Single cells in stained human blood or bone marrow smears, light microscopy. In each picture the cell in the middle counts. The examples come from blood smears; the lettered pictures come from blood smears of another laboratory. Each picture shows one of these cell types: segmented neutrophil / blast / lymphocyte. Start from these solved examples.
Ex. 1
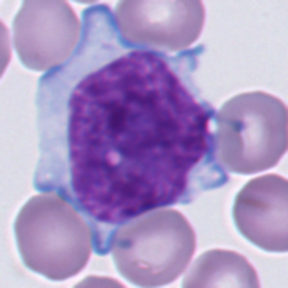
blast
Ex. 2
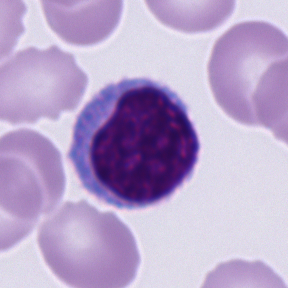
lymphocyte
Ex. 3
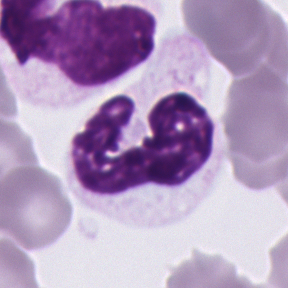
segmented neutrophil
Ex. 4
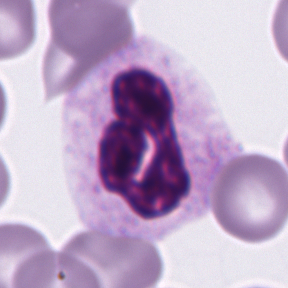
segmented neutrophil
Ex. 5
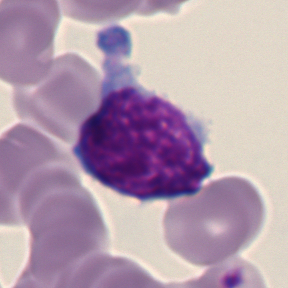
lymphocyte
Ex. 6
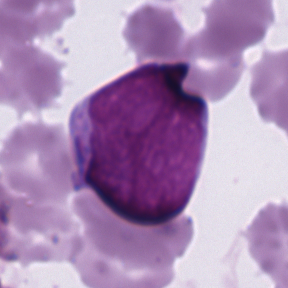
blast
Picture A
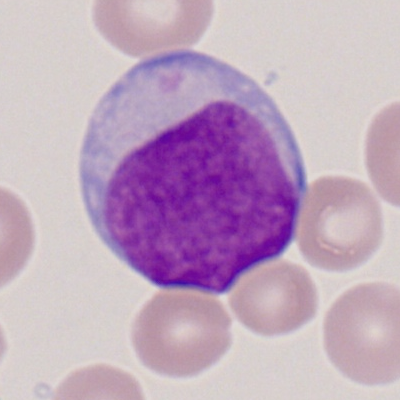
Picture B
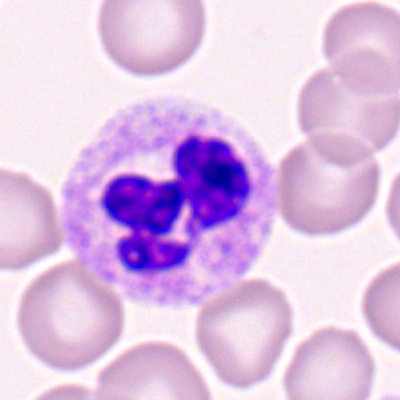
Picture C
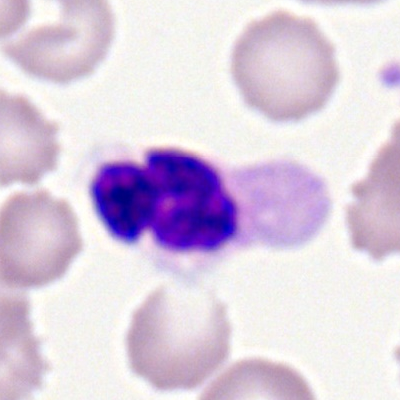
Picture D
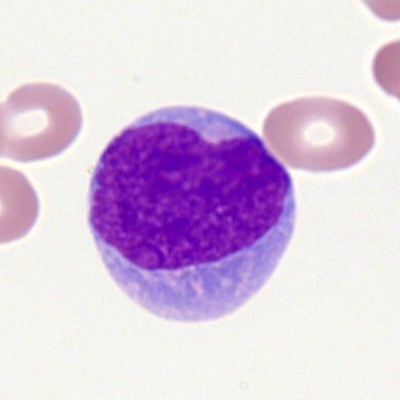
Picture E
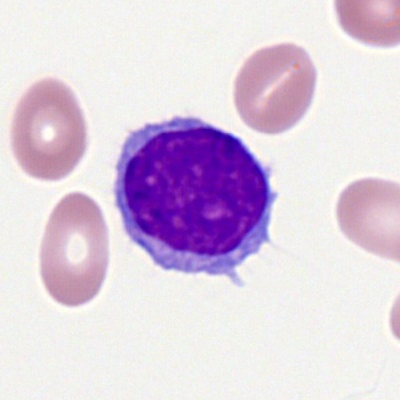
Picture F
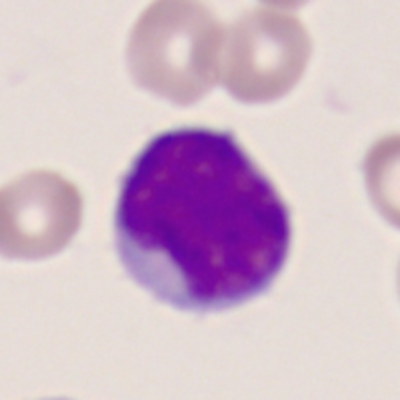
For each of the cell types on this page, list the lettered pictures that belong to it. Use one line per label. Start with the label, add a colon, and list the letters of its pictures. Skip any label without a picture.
segmented neutrophil: B, C
blast: A, D, F
lymphocyte: E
